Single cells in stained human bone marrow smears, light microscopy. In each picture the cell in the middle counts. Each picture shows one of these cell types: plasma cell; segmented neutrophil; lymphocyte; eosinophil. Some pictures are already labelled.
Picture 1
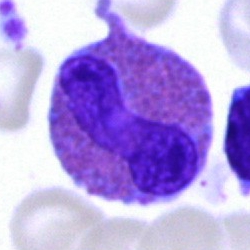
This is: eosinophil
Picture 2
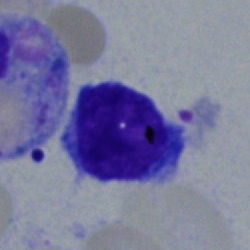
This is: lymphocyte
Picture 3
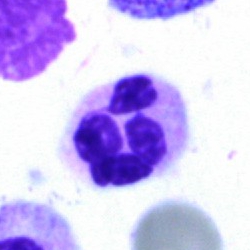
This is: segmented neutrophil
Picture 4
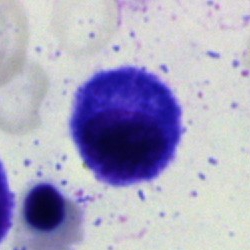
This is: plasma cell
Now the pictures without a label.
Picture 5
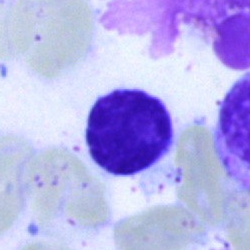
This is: lymphocyte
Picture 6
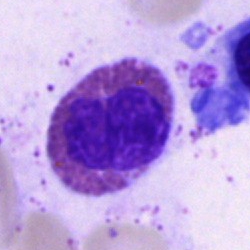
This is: eosinophil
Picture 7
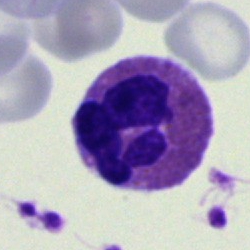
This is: eosinophil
